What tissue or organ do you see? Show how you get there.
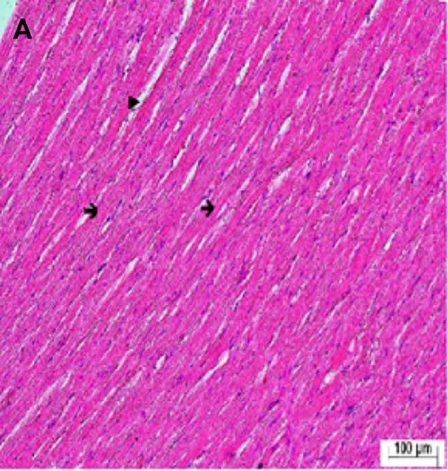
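Cardiac muscle fibers. Long parallel pink-staining fibers run diagonally across the field. Elongated dark purple nuclei lie within the fibers. Narrow pale clefts separate the fibers.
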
